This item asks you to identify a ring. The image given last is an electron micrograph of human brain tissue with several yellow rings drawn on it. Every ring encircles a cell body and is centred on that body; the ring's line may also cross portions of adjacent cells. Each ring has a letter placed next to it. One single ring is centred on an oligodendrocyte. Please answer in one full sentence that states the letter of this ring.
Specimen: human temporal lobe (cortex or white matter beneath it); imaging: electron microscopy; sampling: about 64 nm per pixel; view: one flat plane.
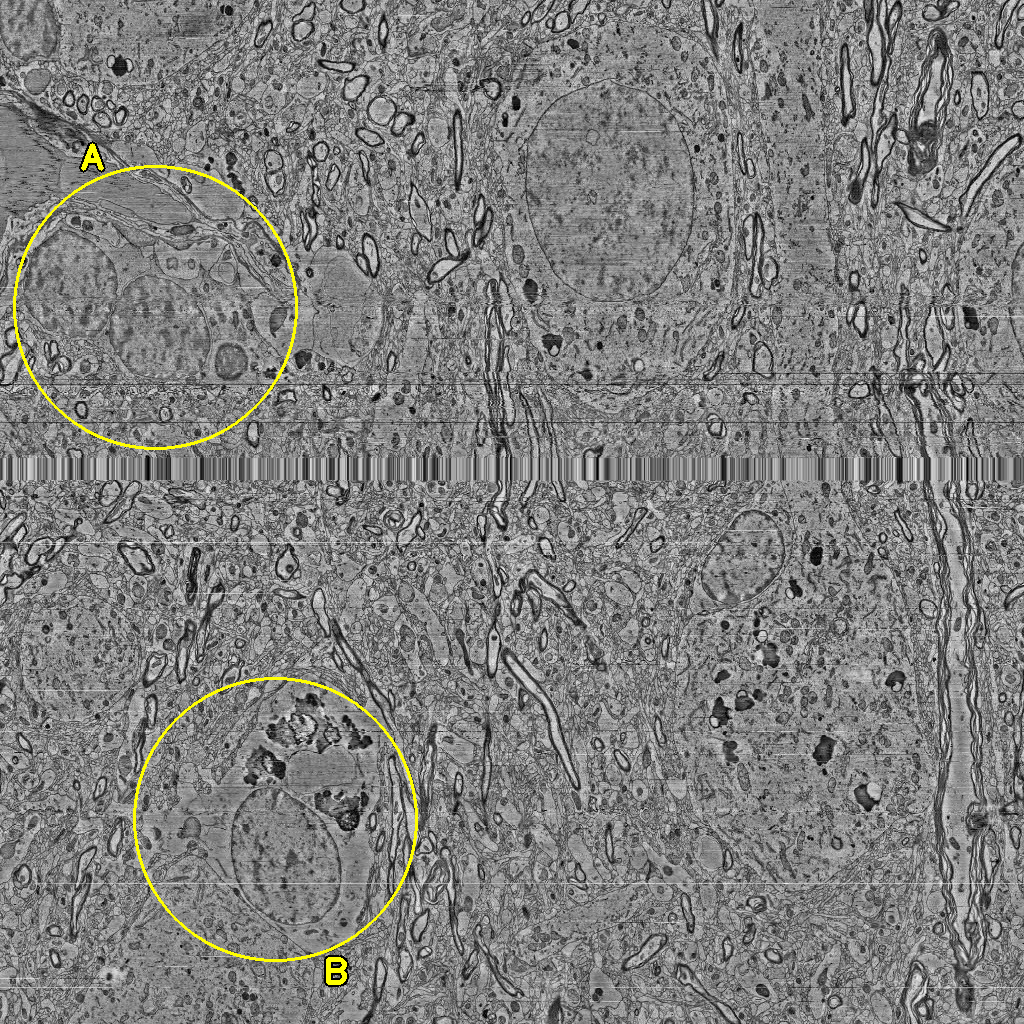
My answer is letter A, the ring centred on the cell asked for.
